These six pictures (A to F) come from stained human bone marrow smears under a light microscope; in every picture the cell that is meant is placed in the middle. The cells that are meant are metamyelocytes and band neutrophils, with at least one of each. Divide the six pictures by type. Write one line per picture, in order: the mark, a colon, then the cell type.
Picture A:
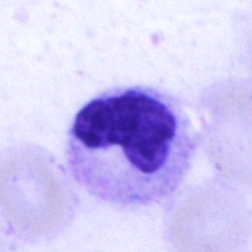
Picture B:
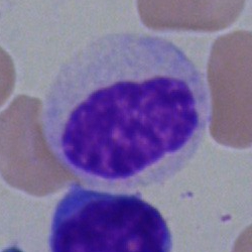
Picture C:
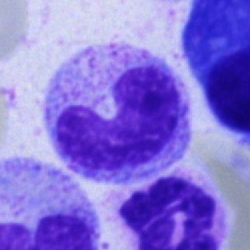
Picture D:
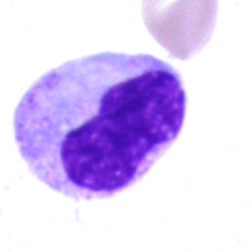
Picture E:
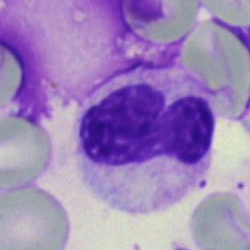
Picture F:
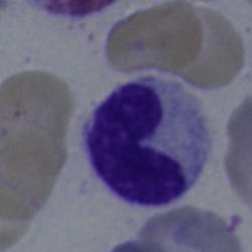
A: band neutrophil
B: metamyelocyte
C: band neutrophil
D: metamyelocyte
E: band neutrophil
F: band neutrophil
